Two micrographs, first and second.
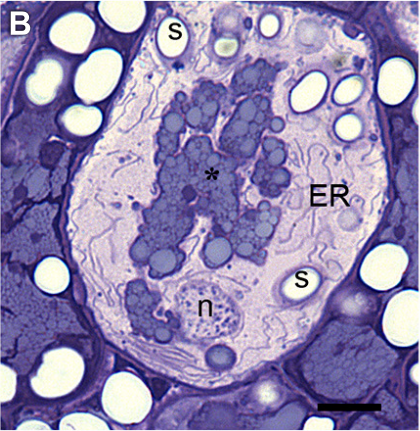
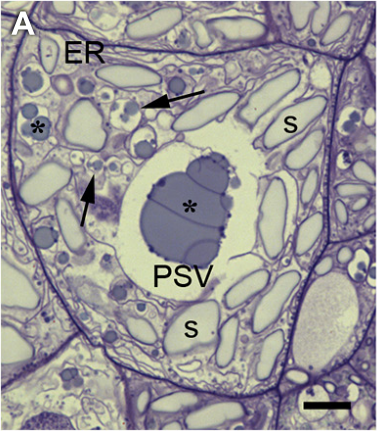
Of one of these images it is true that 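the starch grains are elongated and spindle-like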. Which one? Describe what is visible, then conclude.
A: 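The second image. First image: the pale starch grains around the cells are rounded to oval. Second image: the pale starch grains are elongated, many spindle- or lens-shaped.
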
